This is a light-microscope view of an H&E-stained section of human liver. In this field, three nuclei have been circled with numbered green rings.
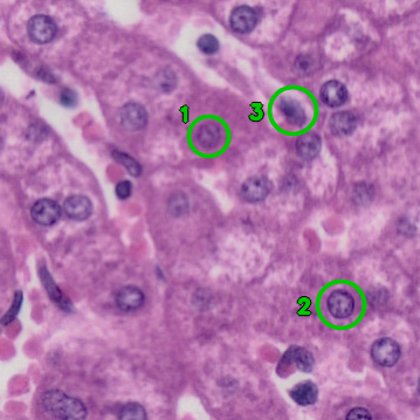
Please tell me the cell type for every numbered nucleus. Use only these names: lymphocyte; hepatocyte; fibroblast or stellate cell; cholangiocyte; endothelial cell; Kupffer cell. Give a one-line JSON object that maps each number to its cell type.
{"1": "hepatocyte", "2": "hepatocyte", "3": "Kupffer cell"}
